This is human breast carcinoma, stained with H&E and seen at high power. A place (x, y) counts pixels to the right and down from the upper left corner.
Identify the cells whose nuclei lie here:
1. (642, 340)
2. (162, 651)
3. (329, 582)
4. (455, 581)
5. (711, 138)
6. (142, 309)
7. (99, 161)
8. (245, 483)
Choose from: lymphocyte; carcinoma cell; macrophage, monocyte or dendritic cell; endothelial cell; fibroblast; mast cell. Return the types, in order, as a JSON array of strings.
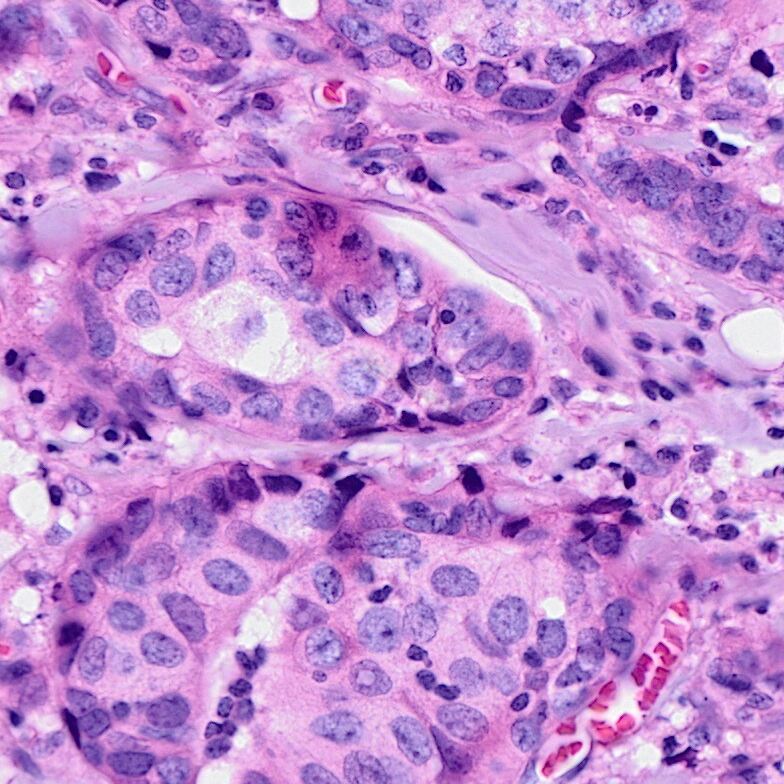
["lymphocyte", "carcinoma cell", "carcinoma cell", "carcinoma cell", "lymphocyte", "carcinoma cell", "lymphocyte", "carcinoma cell"]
